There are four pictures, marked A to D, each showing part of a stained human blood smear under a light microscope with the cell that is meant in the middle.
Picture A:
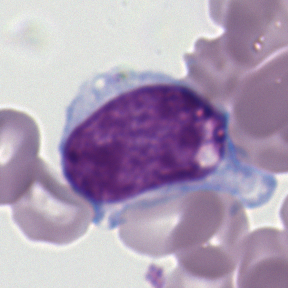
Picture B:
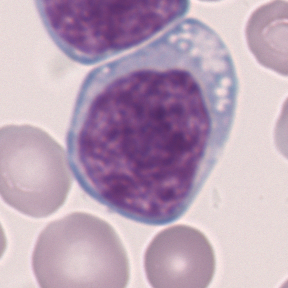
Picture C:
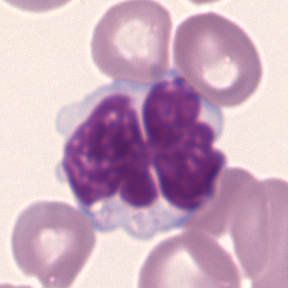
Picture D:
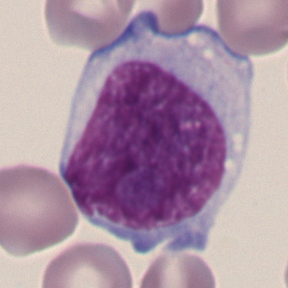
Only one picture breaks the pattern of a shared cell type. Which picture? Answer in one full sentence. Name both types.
The others show myeloblasts, but picture C shows a large granular lymphocyte.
